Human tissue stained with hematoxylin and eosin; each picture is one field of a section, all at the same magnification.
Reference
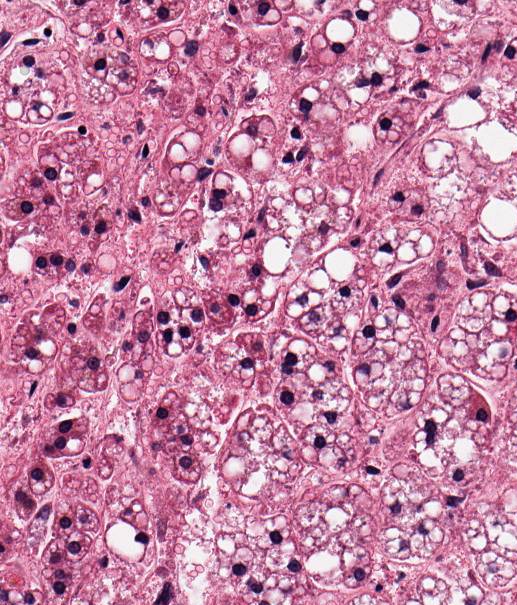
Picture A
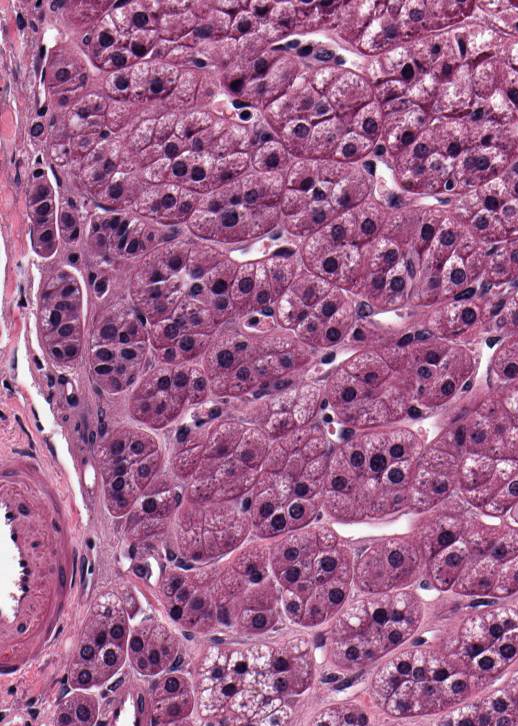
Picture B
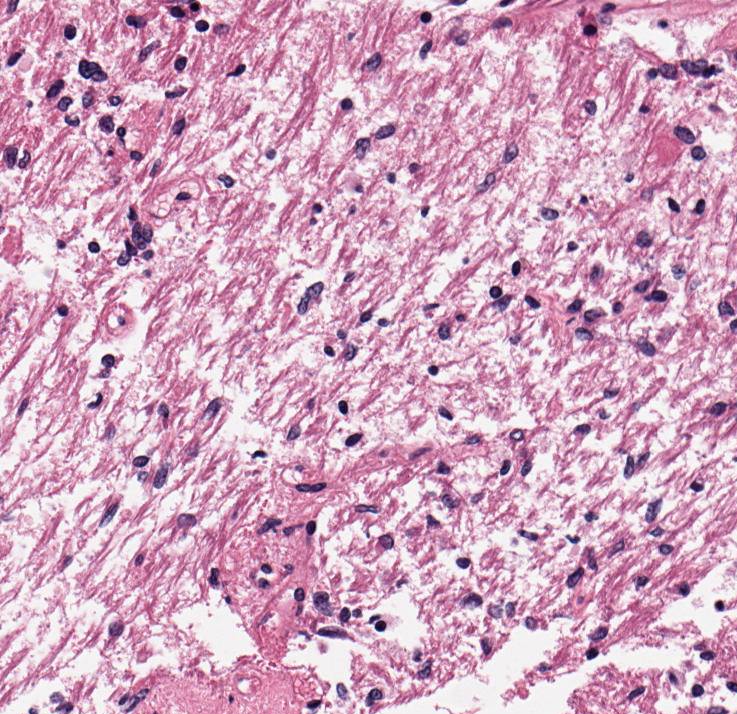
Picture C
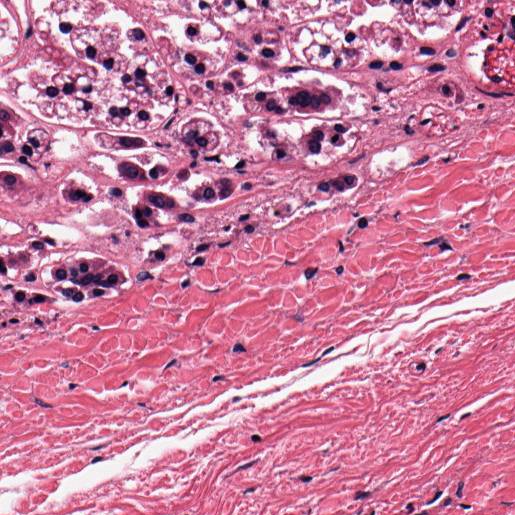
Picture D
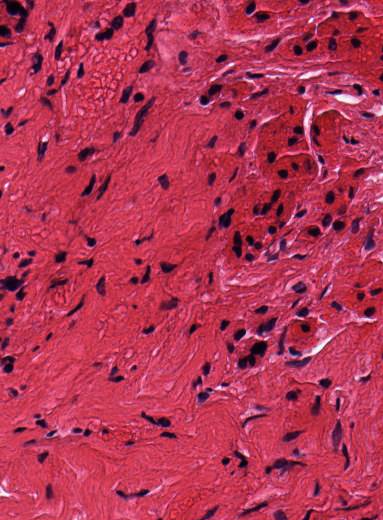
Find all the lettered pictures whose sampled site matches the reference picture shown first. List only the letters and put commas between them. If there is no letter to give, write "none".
A, C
